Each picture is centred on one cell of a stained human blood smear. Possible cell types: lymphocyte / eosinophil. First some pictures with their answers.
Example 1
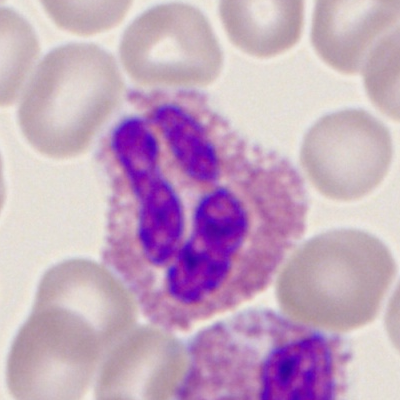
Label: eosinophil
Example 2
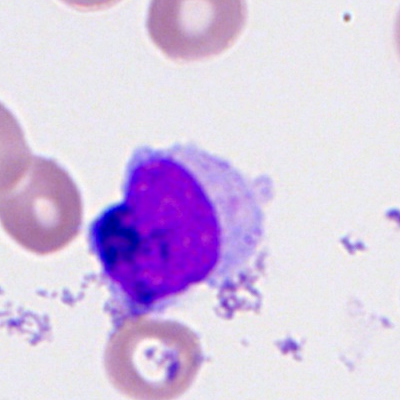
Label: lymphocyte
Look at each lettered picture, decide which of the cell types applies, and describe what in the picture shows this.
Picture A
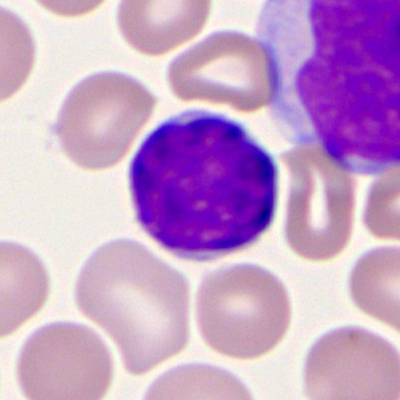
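Label: lymphocyte. The nucleus fills almost the whole cell, leaving only a very thin rim of cytoplasm.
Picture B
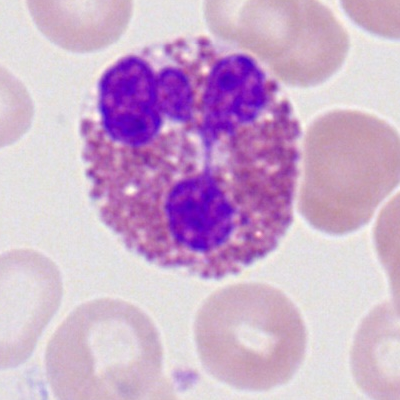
Label: eosinophil. The cytoplasm is abundant around the nuclear lobes.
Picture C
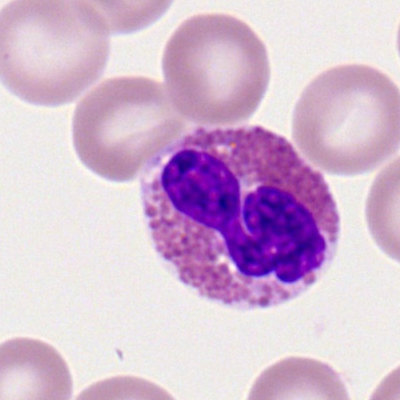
Label: eosinophil. The two nuclear lobes lie along a diagonal from upper left to lower right.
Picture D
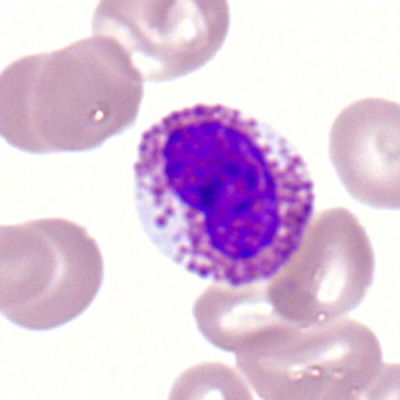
Label: eosinophil. Numerous coarse granules are scattered through the cytoplasm.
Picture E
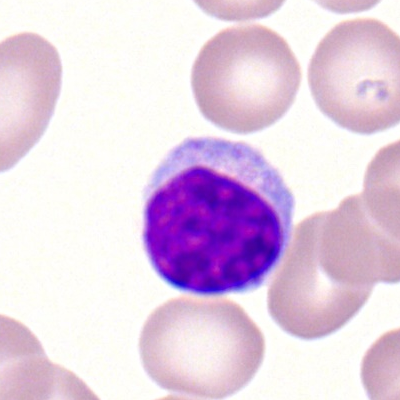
Label: lymphocyte. The nucleus fills most of the cell and sits toward its lower part.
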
